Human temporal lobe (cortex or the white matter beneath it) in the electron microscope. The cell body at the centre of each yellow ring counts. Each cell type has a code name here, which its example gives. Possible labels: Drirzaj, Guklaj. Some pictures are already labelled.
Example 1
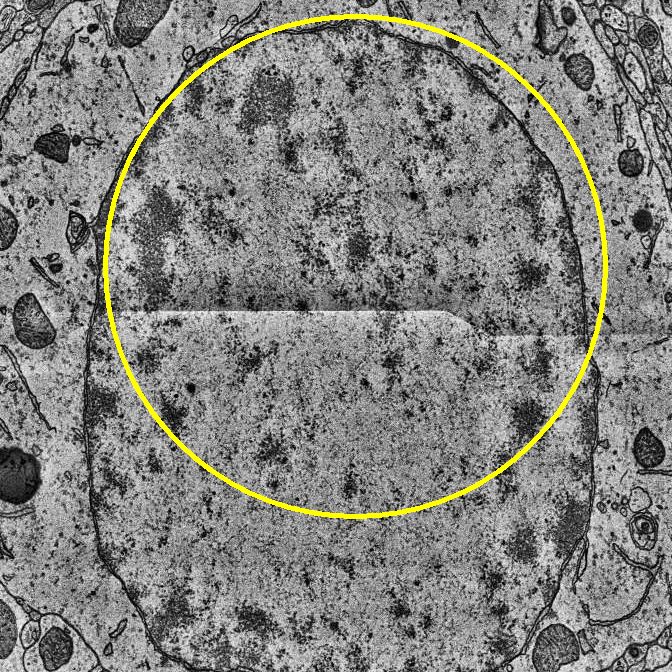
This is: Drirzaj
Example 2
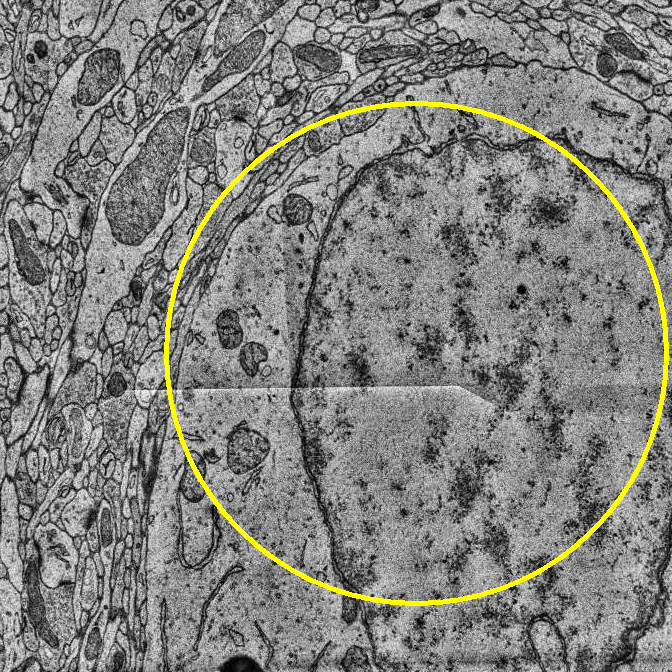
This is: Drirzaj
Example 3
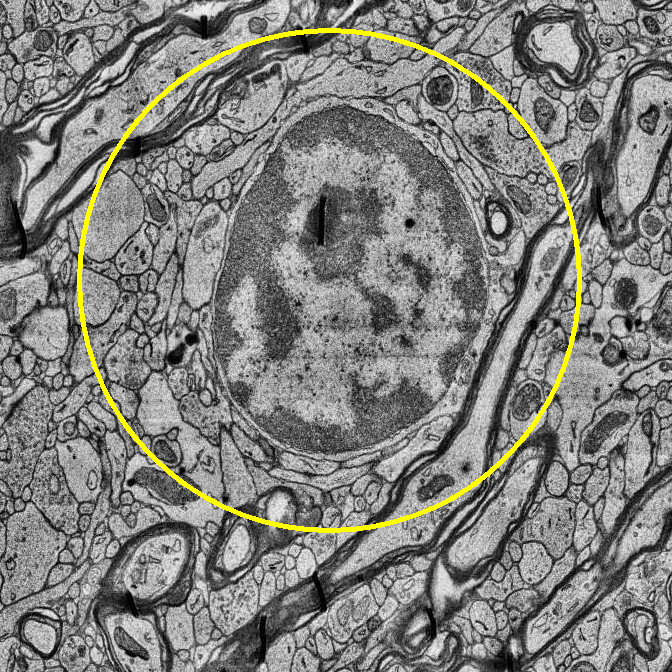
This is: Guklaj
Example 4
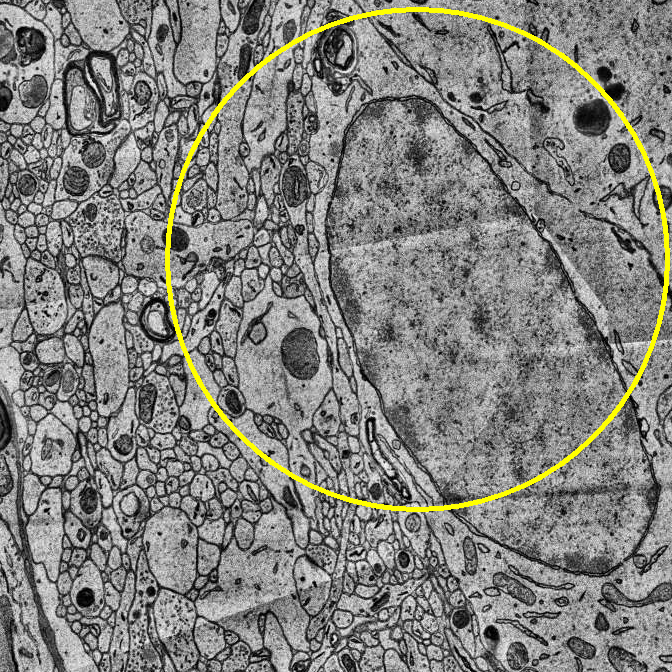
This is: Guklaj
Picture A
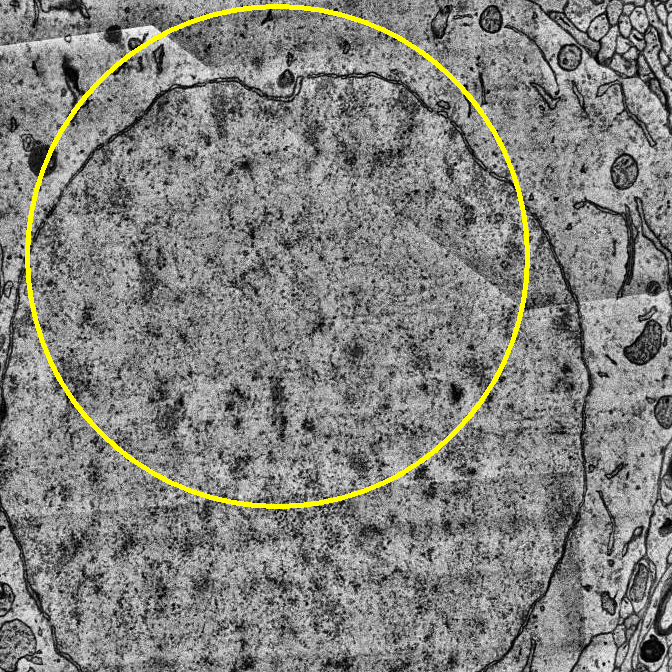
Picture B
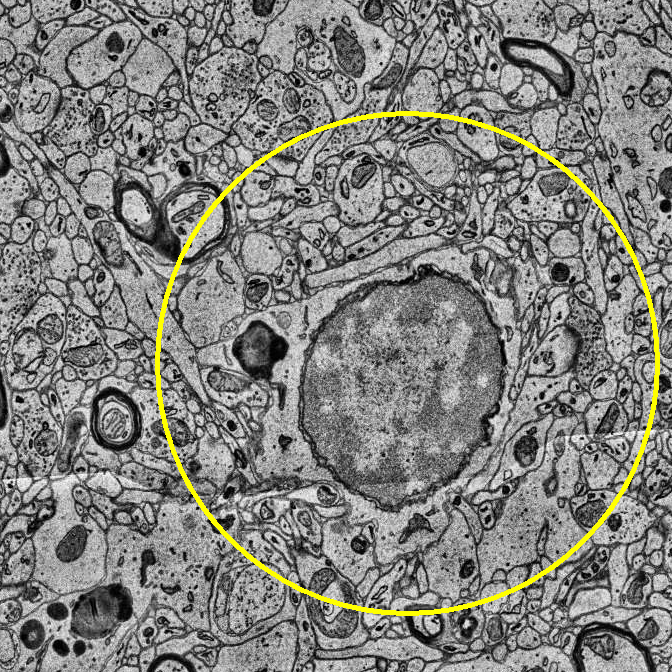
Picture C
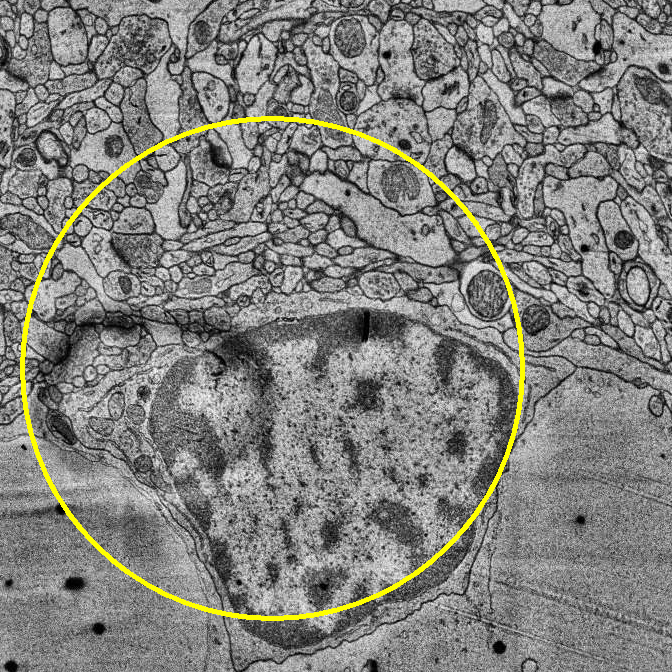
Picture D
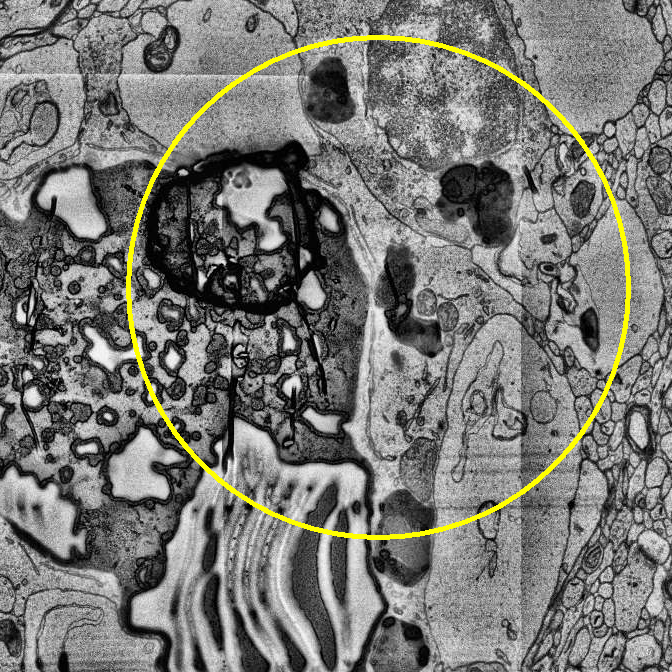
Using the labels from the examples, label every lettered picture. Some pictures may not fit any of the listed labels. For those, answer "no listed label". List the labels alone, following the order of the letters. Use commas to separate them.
Drirzaj, Guklaj, Guklaj, Guklaj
